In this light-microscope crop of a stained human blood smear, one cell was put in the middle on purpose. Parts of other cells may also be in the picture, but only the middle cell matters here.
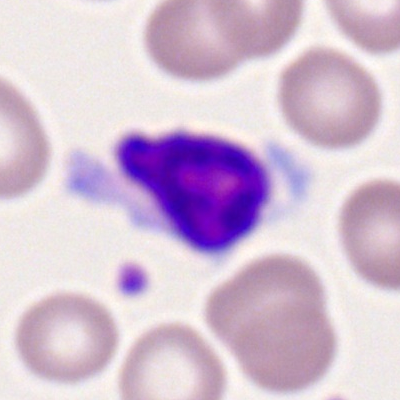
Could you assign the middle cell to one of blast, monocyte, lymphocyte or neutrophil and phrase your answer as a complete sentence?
Here the centrally located cell is a lymphocyte.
